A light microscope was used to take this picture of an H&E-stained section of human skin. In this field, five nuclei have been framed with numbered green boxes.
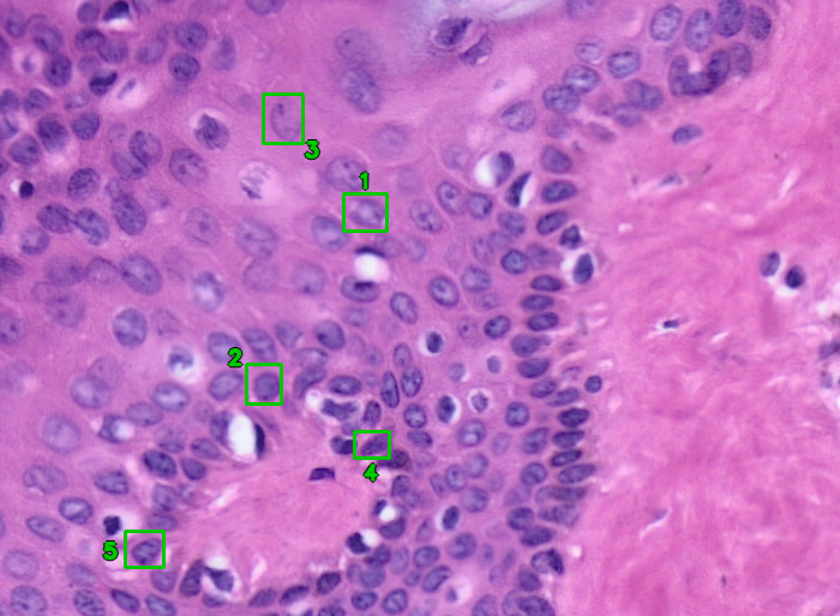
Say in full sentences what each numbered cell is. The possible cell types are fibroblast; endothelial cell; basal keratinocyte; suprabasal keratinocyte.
Cells 1 and 3 are suprabasal keratinocytes. Cells 2, 4 and 5 are basal keratinocytes.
